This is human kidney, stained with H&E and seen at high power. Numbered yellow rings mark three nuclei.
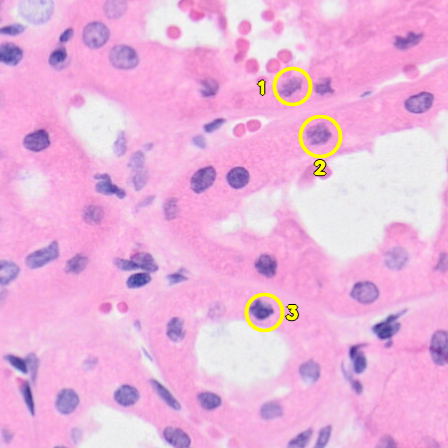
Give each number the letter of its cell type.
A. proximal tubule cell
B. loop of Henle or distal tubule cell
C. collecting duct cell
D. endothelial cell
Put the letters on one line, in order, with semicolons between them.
A; A; B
